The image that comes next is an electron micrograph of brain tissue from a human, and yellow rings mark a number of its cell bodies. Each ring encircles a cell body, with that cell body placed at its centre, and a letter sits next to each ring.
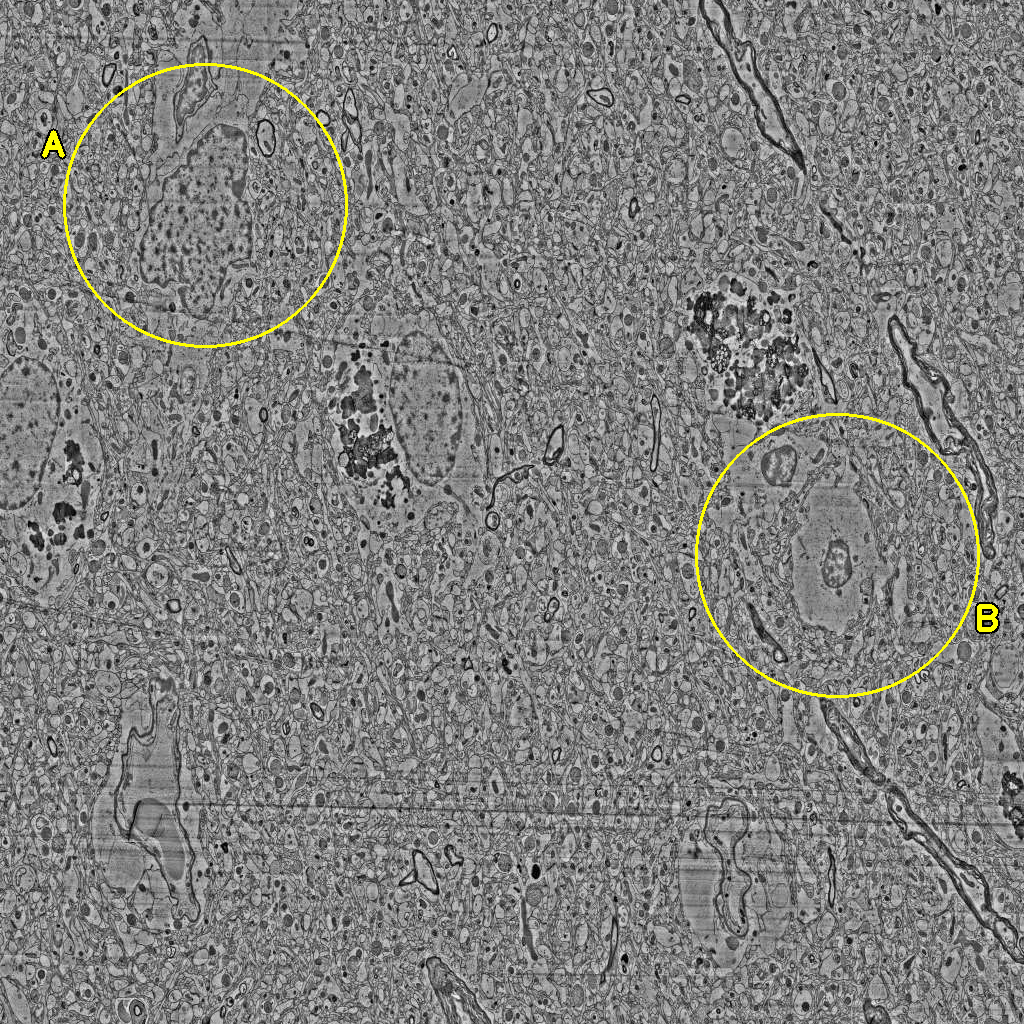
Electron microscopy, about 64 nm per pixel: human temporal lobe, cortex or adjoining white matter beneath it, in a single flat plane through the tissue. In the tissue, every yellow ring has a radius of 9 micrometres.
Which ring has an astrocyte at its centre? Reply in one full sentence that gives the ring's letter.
In the image, ring B has the cell the question asks for at its centre.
